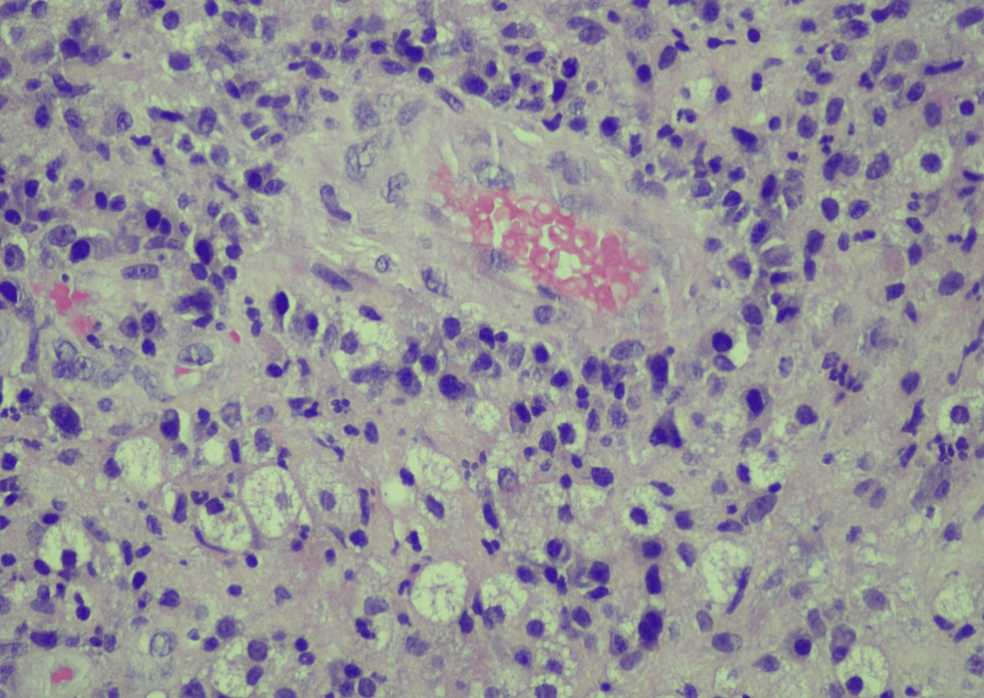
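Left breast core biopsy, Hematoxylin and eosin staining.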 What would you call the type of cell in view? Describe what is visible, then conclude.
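Foamy macrophages. Large round cells with pale, finely vacuolated, bubbly cytoplasm in the lower half.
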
